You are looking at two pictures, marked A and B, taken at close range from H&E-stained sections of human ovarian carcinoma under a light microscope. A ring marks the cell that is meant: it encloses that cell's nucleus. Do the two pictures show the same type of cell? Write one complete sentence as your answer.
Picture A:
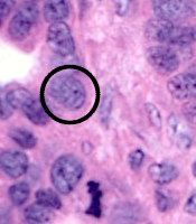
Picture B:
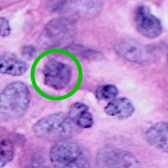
No. Picture A shows a carcinoma cell, but picture B shows a “macrophage or monocyte”.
